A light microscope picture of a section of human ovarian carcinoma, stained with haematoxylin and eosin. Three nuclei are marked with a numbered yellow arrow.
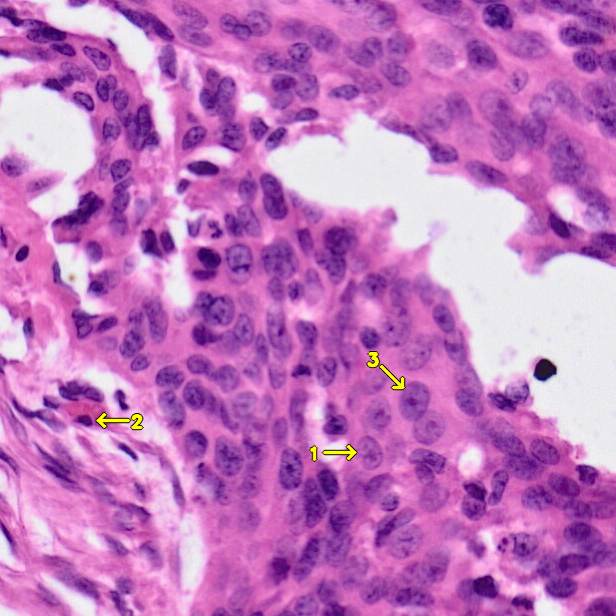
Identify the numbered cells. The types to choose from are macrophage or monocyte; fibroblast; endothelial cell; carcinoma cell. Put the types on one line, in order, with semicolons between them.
carcinoma cell; endothelial cell; carcinoma cell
